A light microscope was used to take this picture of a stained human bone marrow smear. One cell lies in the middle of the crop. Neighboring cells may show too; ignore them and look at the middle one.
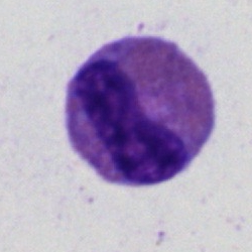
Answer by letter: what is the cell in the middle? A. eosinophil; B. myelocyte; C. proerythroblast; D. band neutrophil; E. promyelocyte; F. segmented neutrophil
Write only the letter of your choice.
A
